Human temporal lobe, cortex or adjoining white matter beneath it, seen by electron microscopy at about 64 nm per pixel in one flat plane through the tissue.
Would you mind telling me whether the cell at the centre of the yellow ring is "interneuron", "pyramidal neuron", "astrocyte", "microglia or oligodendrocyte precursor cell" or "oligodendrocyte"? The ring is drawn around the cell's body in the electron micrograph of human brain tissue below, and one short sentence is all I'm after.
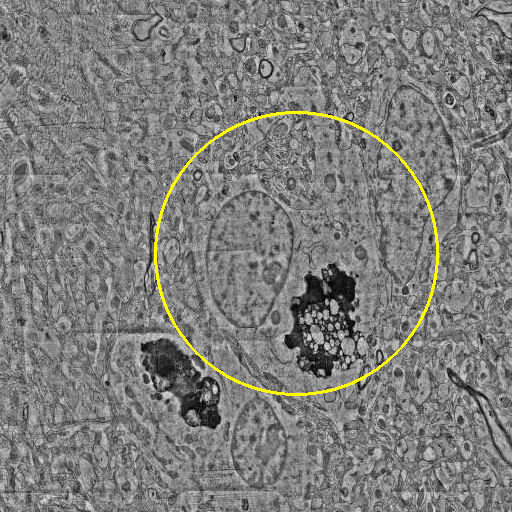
In the centre of the ring lies an astrocyte.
